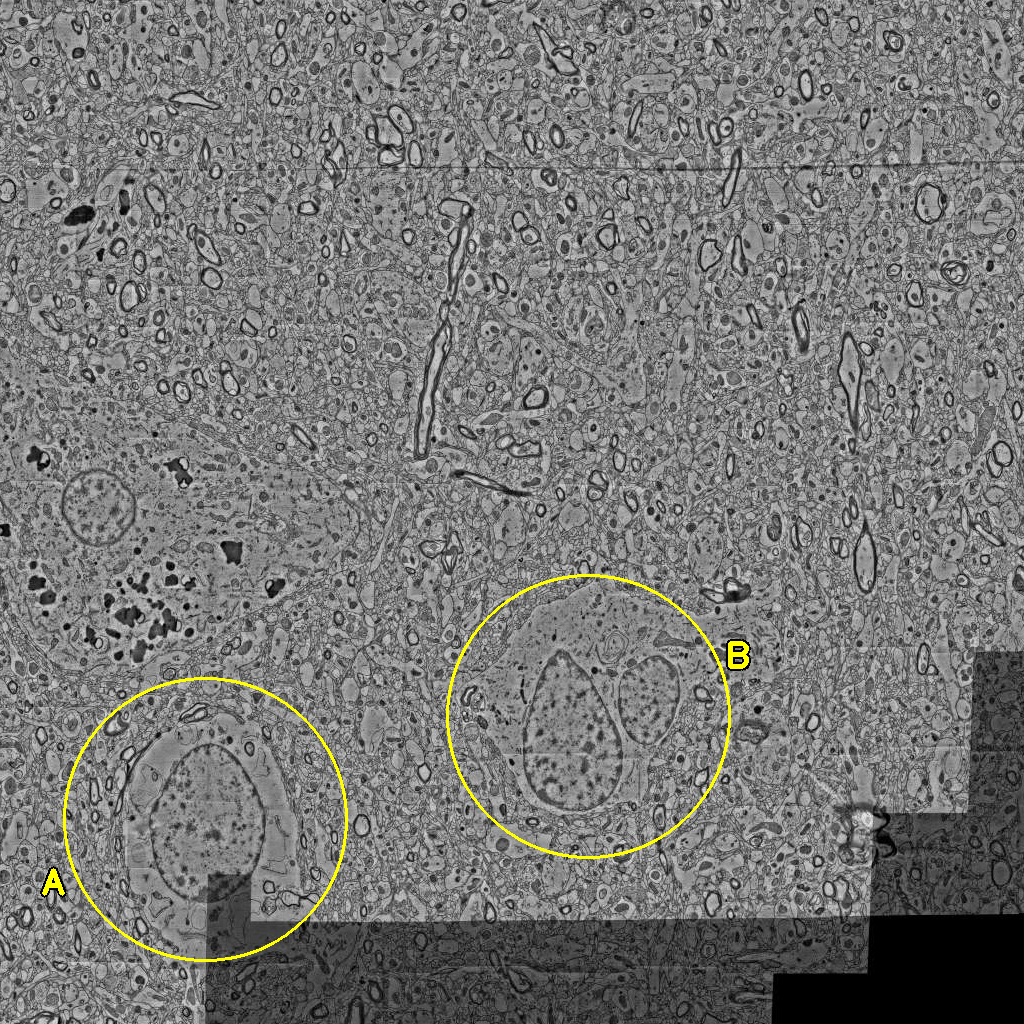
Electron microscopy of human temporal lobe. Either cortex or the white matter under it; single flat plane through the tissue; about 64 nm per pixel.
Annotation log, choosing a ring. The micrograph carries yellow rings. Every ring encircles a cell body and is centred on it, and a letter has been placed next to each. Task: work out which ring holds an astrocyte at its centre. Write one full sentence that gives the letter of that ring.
In the micrograph, the ring centred on the cell asked for carries the letter A.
